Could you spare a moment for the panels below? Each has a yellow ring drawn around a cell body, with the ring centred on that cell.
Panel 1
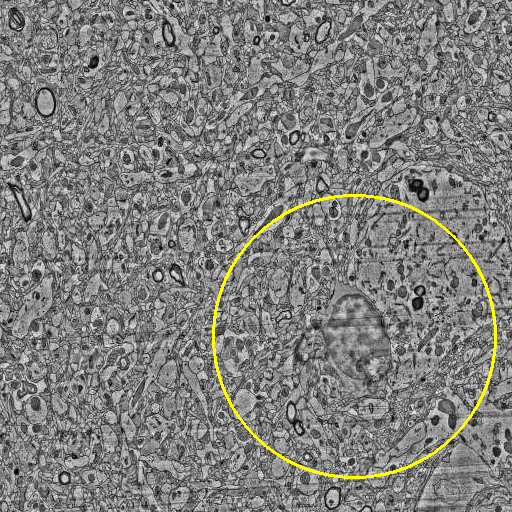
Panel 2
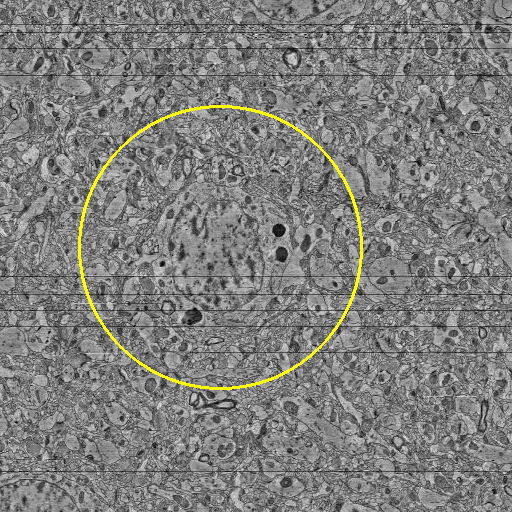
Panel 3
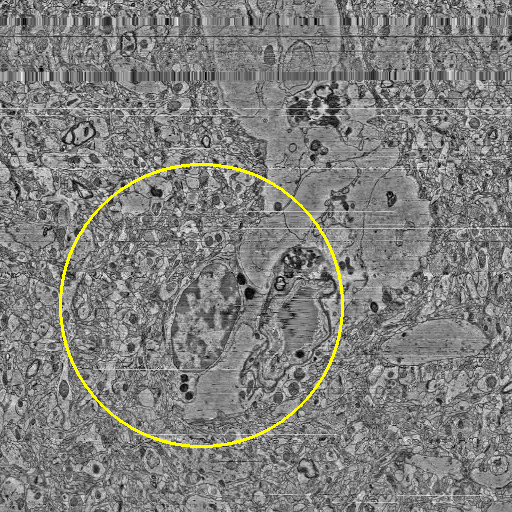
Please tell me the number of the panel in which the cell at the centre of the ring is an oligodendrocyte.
1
